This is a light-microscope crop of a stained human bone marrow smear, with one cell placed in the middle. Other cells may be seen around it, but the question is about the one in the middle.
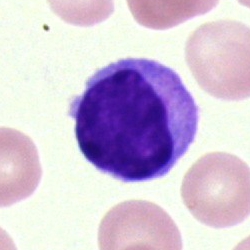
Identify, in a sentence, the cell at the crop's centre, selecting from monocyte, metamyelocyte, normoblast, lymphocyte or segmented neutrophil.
The cell in the middle of the field of view is a lymphocyte.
